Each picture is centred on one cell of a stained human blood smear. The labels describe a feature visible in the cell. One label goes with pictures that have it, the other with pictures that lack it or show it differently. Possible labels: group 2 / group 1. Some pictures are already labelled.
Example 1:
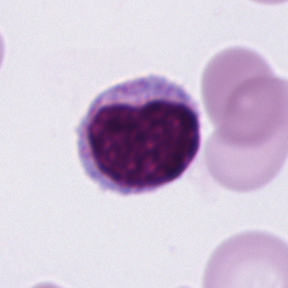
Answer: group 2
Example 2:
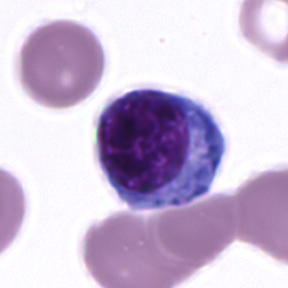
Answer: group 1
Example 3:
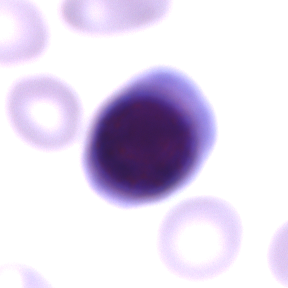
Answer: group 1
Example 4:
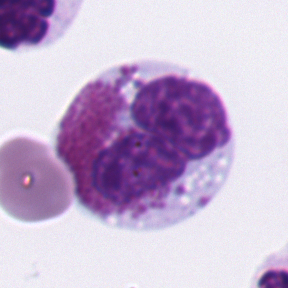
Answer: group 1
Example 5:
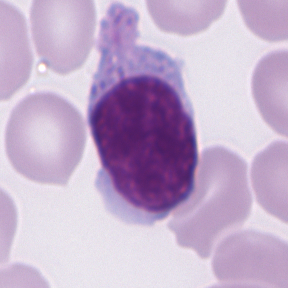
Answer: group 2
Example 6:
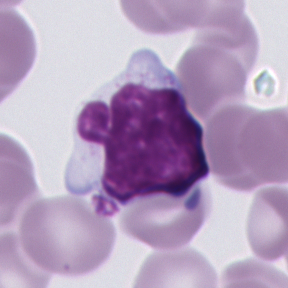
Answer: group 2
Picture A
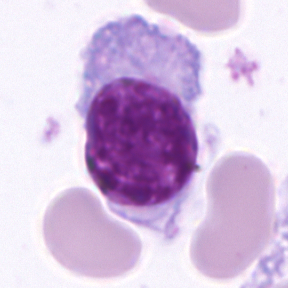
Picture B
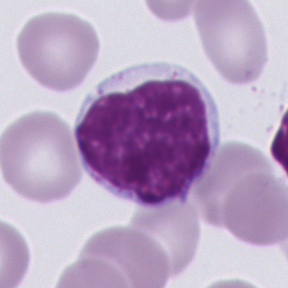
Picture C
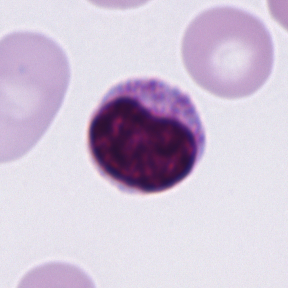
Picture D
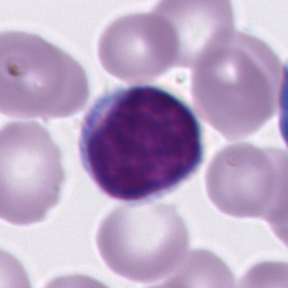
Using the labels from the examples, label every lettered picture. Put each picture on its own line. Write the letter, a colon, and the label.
A: group 2
B: group 1
C: group 1
D: group 1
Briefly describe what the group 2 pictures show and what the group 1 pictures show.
group 2: ragged outline or projections; group 1: smooth outline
